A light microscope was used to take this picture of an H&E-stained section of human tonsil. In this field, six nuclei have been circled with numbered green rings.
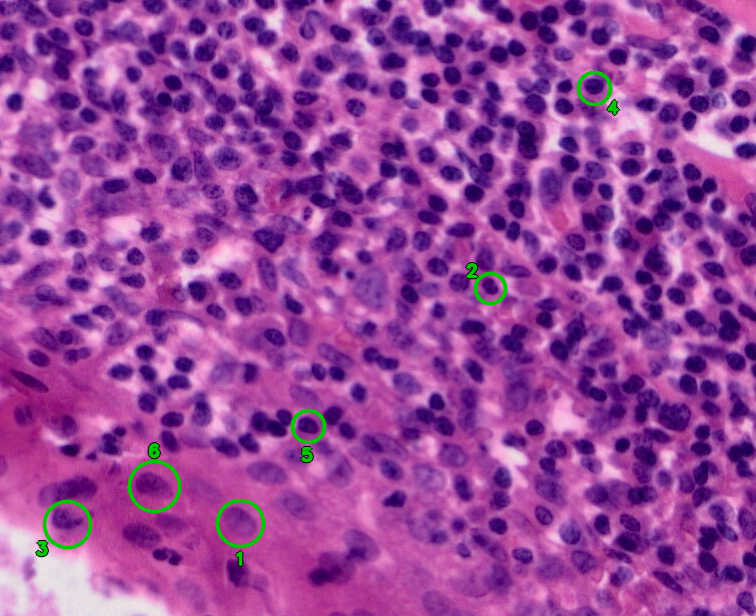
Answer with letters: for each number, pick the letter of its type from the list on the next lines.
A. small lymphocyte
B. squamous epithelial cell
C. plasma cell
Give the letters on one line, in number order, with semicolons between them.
B; C; B; C; C; B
